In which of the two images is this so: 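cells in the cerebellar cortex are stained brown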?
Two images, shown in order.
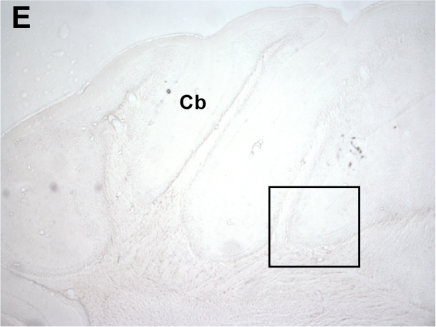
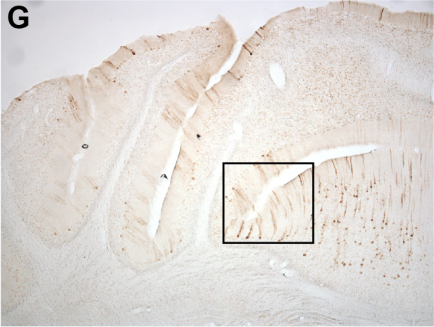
The second image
